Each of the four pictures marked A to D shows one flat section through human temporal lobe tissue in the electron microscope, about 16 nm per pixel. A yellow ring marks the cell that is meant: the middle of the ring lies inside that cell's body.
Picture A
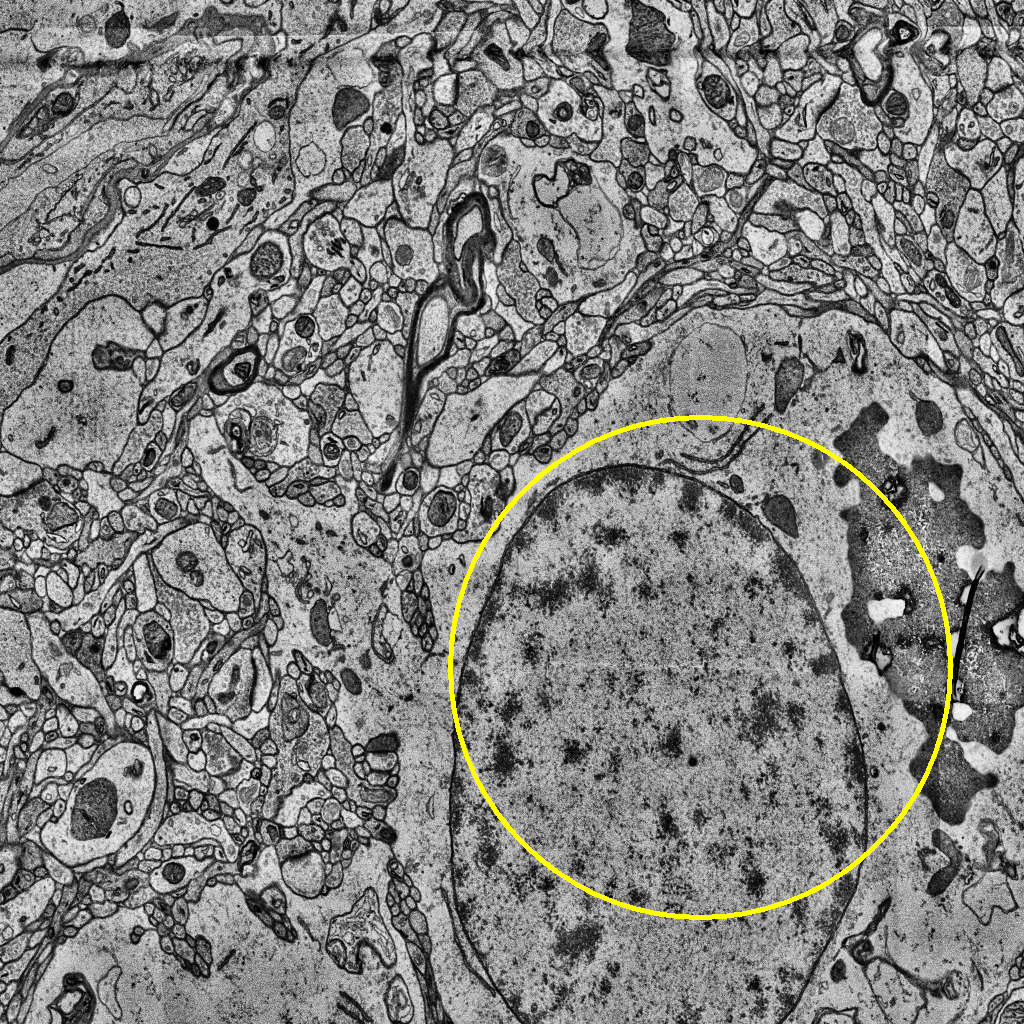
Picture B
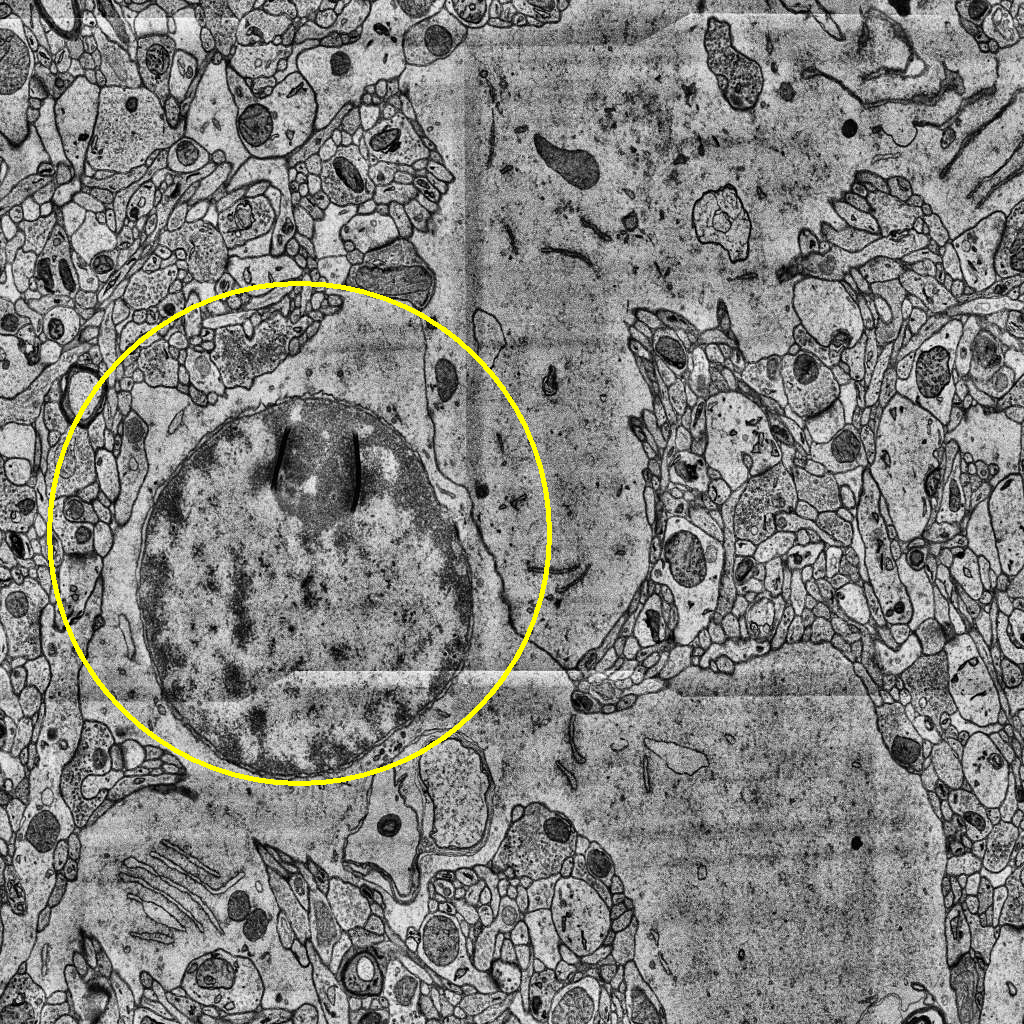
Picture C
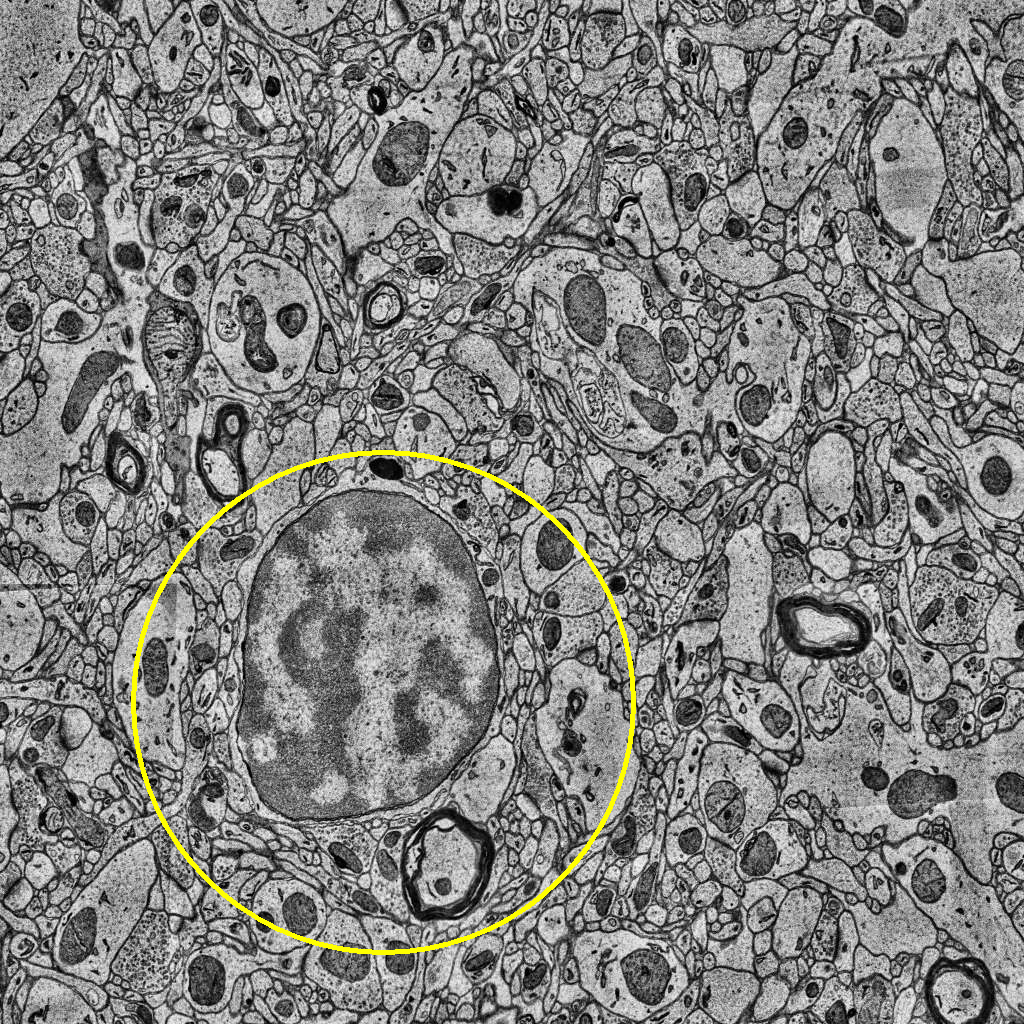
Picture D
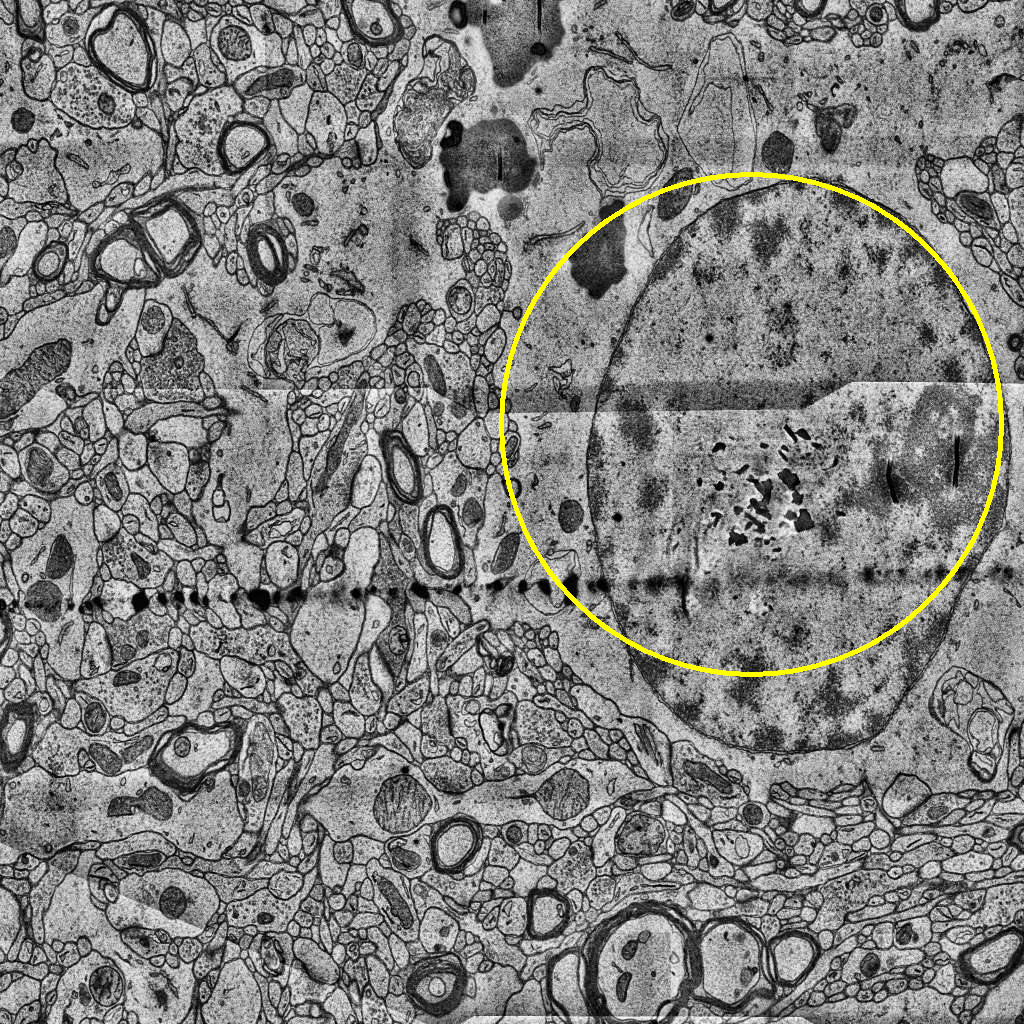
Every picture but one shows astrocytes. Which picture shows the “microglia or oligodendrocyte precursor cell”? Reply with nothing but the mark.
C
